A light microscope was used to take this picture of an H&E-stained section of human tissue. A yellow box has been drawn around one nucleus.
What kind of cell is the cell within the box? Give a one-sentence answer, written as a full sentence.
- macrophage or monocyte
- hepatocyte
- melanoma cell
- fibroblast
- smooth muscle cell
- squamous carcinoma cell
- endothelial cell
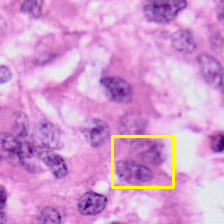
In this field of tissue, the cell within the box is a melanoma cell.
